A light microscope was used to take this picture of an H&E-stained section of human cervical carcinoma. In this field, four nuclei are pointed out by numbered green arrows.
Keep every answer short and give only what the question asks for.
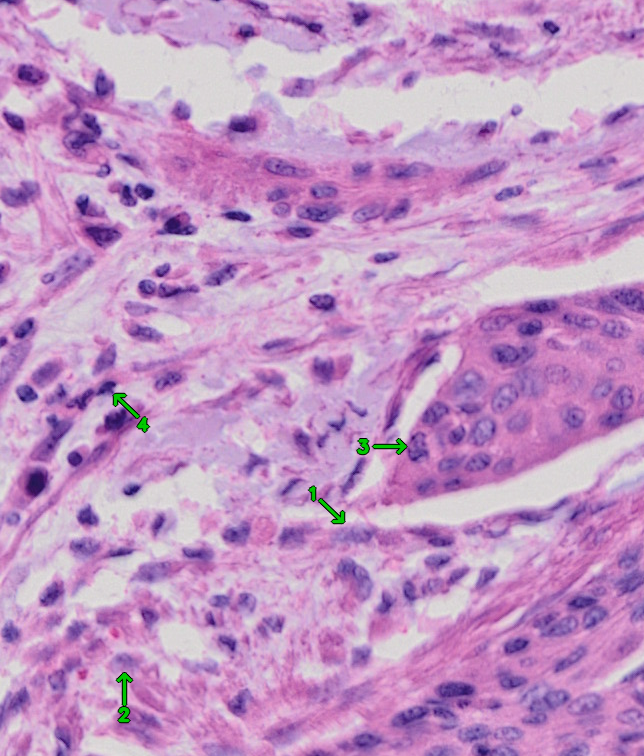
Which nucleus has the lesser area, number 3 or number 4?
4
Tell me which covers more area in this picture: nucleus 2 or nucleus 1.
1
